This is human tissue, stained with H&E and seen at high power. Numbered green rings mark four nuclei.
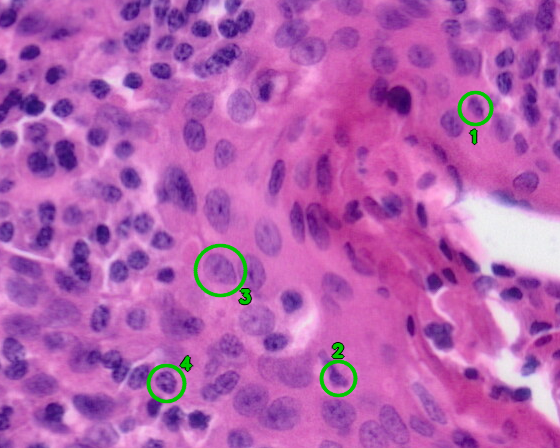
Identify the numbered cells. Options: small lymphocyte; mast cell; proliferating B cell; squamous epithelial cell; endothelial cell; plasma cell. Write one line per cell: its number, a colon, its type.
1: squamous epithelial cell
2: squamous epithelial cell
3: squamous epithelial cell
4: plasma cell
